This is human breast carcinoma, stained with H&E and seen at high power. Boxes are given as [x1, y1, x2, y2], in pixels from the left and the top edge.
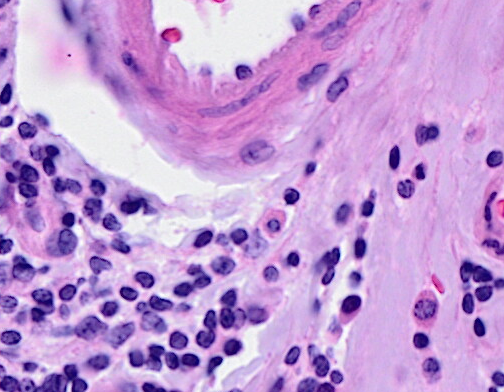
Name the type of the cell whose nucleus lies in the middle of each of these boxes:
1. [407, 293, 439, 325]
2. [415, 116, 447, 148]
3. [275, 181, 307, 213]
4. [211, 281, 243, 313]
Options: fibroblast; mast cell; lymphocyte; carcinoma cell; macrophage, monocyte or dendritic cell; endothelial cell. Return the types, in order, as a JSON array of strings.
["mast cell", "lymphocyte", "lymphocyte", "lymphocyte"]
